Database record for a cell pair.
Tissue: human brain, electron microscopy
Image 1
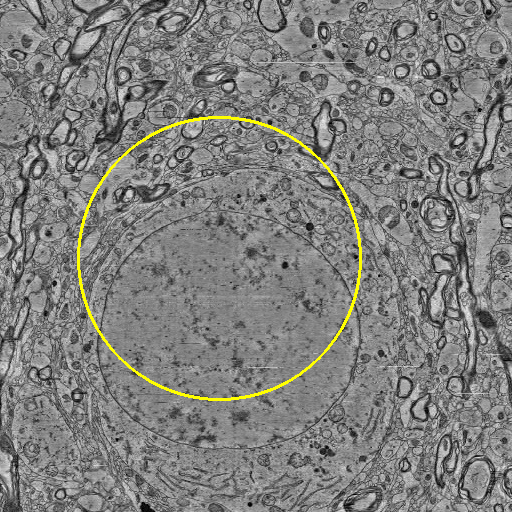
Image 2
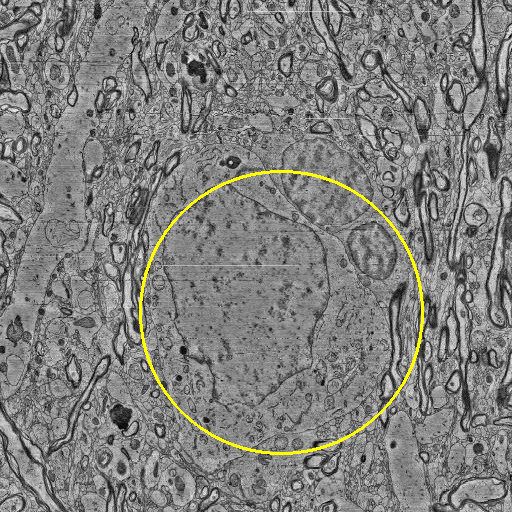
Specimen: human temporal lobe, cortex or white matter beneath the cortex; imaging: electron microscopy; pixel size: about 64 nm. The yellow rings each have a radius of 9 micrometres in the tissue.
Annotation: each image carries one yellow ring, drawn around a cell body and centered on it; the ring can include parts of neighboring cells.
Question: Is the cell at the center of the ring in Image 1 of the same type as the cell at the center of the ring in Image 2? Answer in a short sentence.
Yes, the cells are of the same type.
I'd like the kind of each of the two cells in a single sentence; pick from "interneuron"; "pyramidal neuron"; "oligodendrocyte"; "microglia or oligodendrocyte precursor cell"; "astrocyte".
Each cell, in the first picture and the second, is a pyramidal neuron.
